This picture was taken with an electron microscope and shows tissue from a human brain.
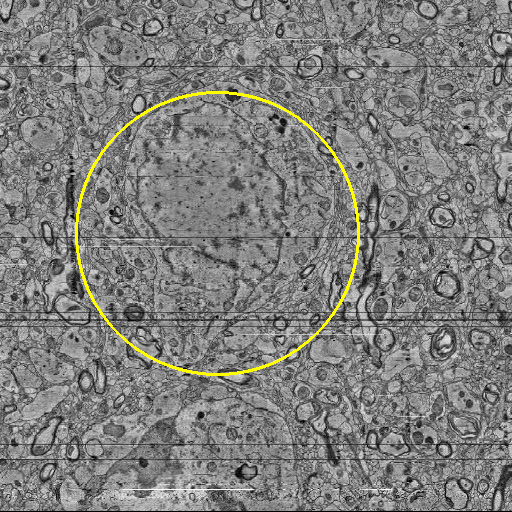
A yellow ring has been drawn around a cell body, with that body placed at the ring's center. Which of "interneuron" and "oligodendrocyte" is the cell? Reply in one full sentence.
In this picture, an interneuron is the cell at the center of the yellow ring.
